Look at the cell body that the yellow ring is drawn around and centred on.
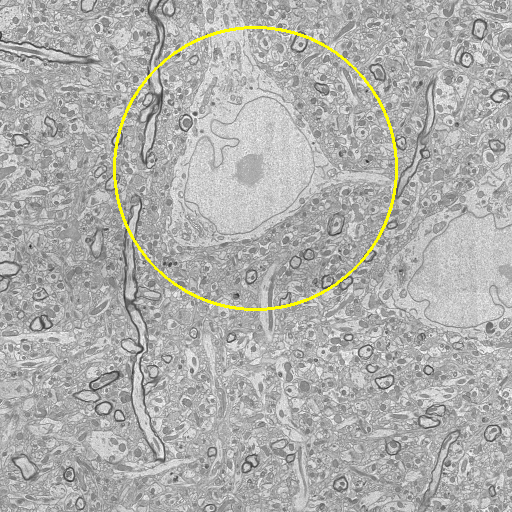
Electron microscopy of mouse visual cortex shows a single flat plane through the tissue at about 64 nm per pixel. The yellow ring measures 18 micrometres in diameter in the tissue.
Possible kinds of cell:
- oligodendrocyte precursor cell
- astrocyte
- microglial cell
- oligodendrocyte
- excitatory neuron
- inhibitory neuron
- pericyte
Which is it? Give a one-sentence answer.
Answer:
The centred cell body is that of an excitatory neuron.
